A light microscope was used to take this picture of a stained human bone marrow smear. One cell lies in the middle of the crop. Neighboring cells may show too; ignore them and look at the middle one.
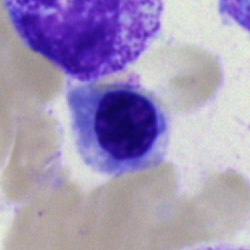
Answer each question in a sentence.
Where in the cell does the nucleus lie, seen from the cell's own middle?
Toward the right of the cell lies its nucleus.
